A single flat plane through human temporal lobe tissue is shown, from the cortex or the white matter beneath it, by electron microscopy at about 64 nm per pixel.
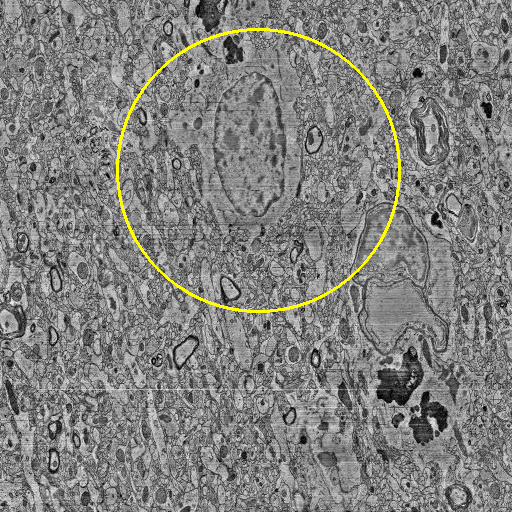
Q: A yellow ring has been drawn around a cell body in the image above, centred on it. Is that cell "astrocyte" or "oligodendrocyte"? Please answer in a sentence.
The ring surrounds the cell body of an astrocyte.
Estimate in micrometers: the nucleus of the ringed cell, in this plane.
About 9 by 5 micrometers in this plane, so the nucleus is clearly longer than it is wide.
